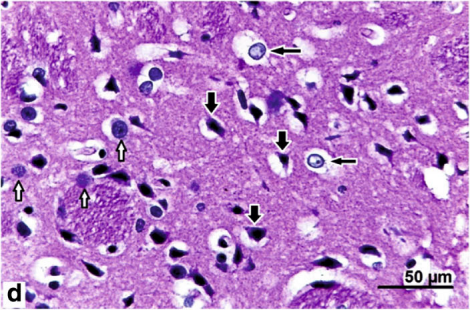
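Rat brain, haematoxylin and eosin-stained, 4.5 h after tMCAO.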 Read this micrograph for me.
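In pink-stained grey matter of the caudoputamen, many neurons have shrunken, dark, angular nuclei each lying within a clear empty halo, while some others have pale nuclei with only a dark rim, and a few have round nuclei with a distinct nucleolus. A cross-cut pink fibre bundle lies at the lower left.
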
